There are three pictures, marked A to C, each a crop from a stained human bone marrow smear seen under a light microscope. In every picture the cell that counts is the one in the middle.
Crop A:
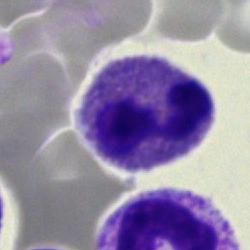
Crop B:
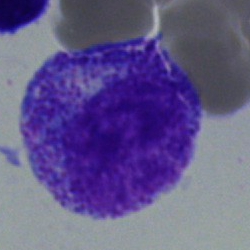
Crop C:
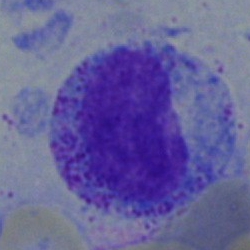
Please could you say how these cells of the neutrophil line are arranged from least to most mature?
B, C, A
